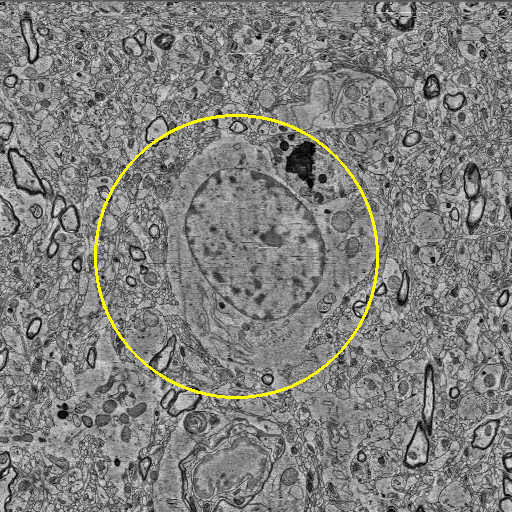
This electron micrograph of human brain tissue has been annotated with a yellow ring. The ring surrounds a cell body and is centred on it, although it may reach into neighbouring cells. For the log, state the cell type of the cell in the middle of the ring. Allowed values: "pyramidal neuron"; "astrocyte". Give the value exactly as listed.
astrocyte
